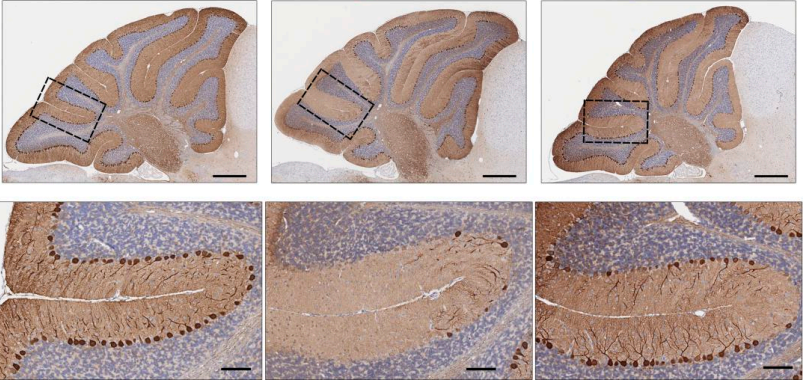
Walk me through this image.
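These are sagittal sections of cerebellum, whole in the upper row and enlarged below, where Purkinje cells show as large brown cell bodies in a single row between the blue granular layer and the brown molecular layer, sending branching dendrites outward. In the left and right enlargements the row of cell bodies is nearly continuous, whereas in the middle enlargement most of the row is missing and only scattered brown cell bodies remain.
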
